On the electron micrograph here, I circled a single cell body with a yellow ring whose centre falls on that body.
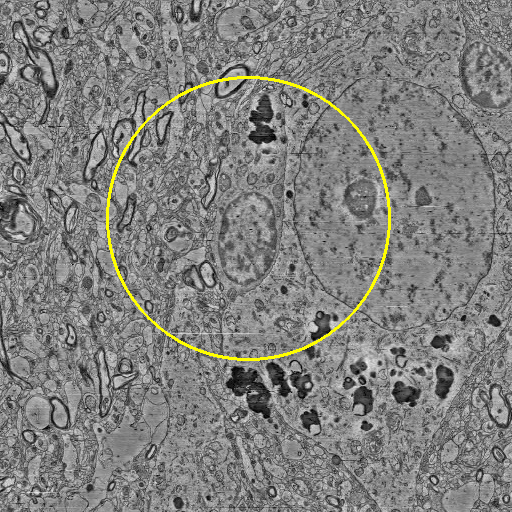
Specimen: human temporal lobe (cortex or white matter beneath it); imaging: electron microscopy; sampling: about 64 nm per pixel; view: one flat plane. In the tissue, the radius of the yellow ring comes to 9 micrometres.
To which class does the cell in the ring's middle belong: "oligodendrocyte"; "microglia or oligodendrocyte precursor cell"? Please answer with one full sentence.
In this picture, the cell body circled at the ring's centre belongs to an oligodendrocyte.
